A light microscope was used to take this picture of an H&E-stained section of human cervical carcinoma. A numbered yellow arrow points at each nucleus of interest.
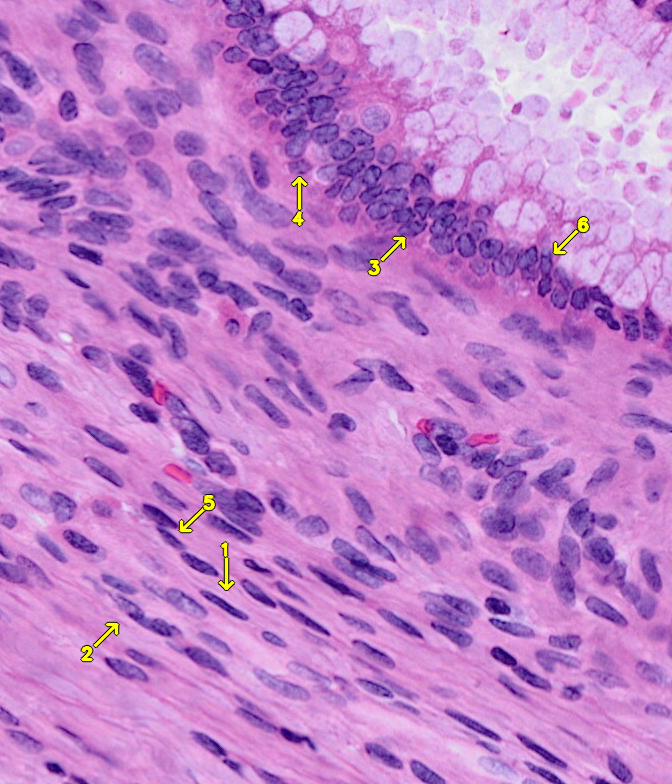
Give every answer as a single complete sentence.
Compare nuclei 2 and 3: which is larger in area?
Number 2 is larger; its area is about 1.5 times that of number 3.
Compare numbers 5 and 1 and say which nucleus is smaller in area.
The smaller nucleus is 5, and 1 covers roughly 2 times its area.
